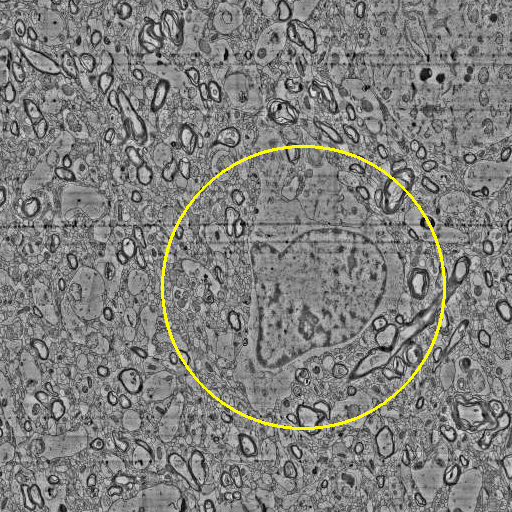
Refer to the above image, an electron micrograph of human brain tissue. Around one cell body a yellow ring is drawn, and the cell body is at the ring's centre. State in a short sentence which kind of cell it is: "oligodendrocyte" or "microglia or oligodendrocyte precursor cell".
The centre of the ring falls on a microglial cell or oligodendrocyte precursor cell.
